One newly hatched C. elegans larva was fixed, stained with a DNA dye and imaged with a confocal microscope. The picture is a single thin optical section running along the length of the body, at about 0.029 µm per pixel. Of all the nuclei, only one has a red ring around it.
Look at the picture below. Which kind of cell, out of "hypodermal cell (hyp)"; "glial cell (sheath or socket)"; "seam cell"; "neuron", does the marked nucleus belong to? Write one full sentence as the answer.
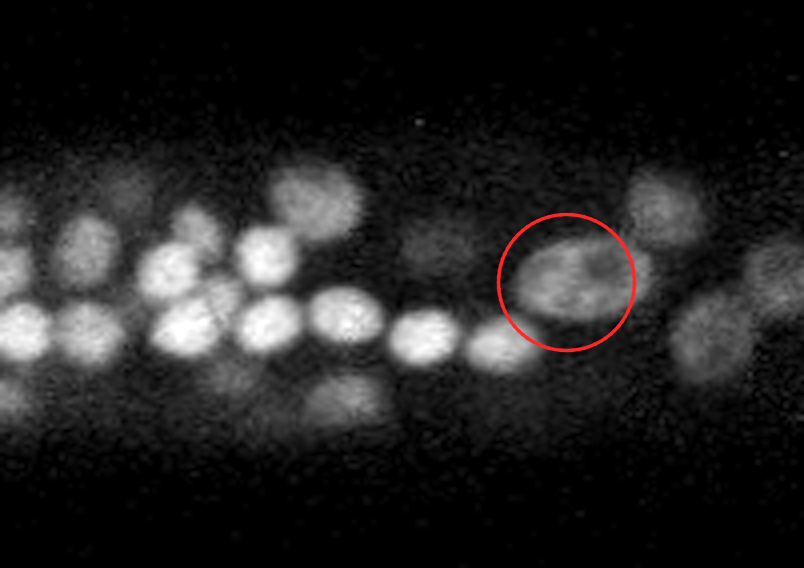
What is marked is the nucleus of a seam cell.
